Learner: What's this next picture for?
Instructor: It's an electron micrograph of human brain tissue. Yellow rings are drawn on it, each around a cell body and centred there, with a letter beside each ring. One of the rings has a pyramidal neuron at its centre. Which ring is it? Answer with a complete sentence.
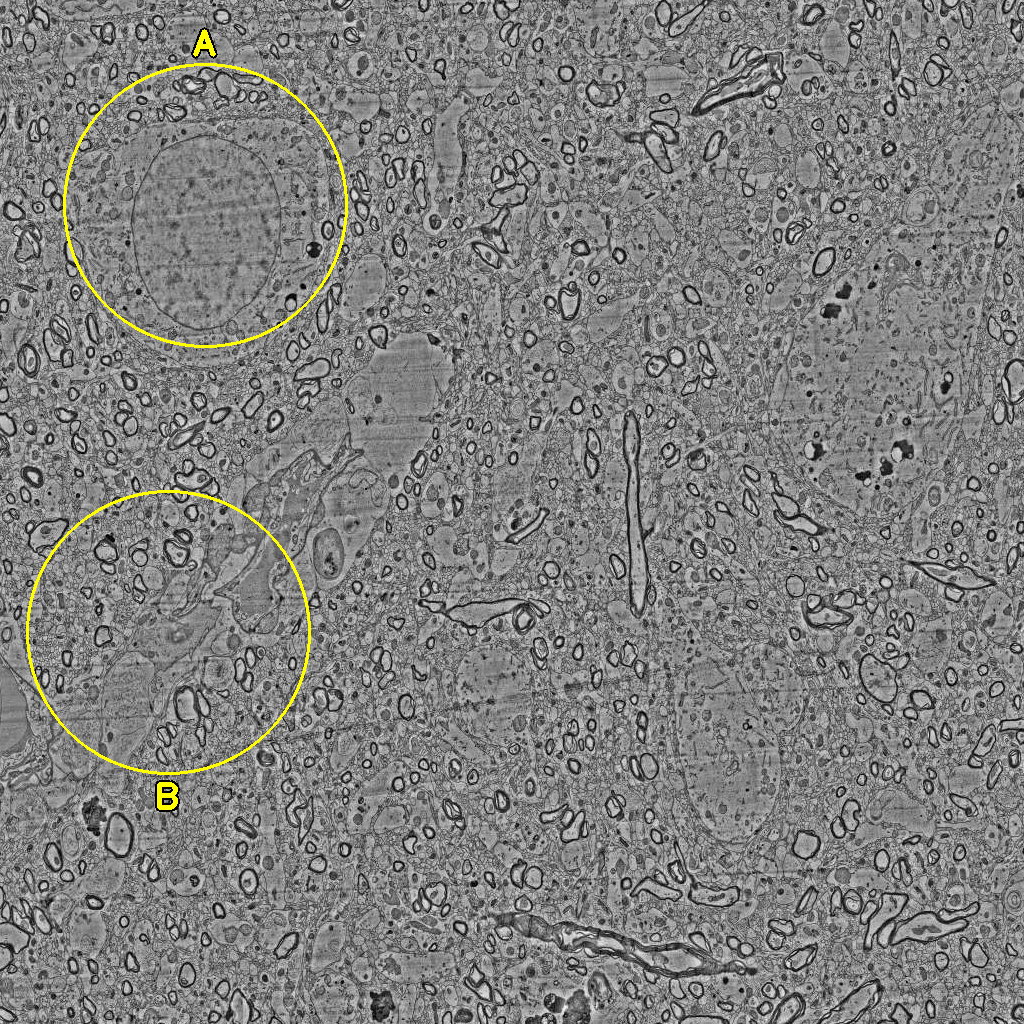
Ring A is centred on it.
